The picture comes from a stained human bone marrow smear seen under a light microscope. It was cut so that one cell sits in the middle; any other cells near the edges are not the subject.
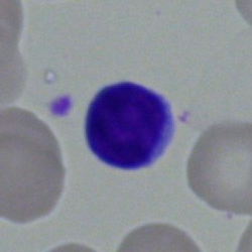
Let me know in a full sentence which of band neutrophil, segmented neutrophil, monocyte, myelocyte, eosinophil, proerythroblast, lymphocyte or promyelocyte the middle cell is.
The cell at the centre of the field is a lymphocyte.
